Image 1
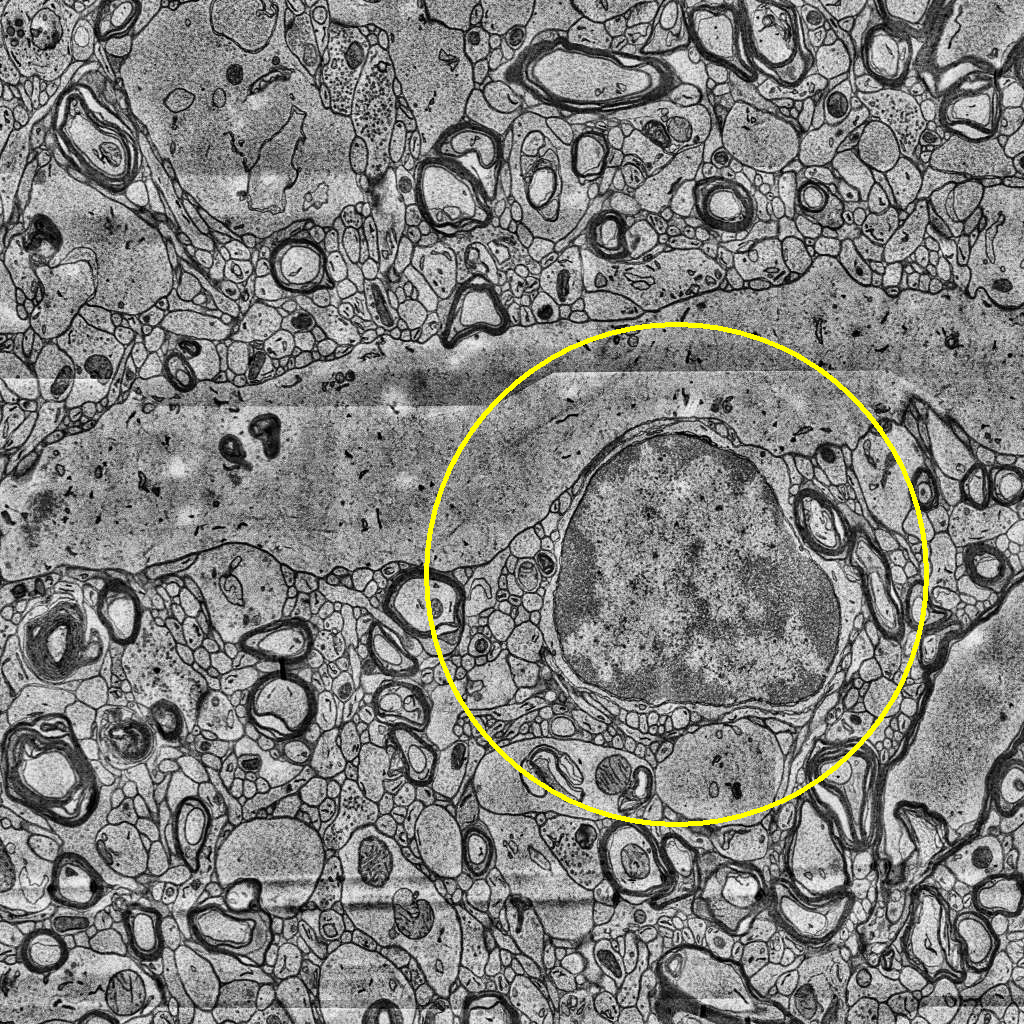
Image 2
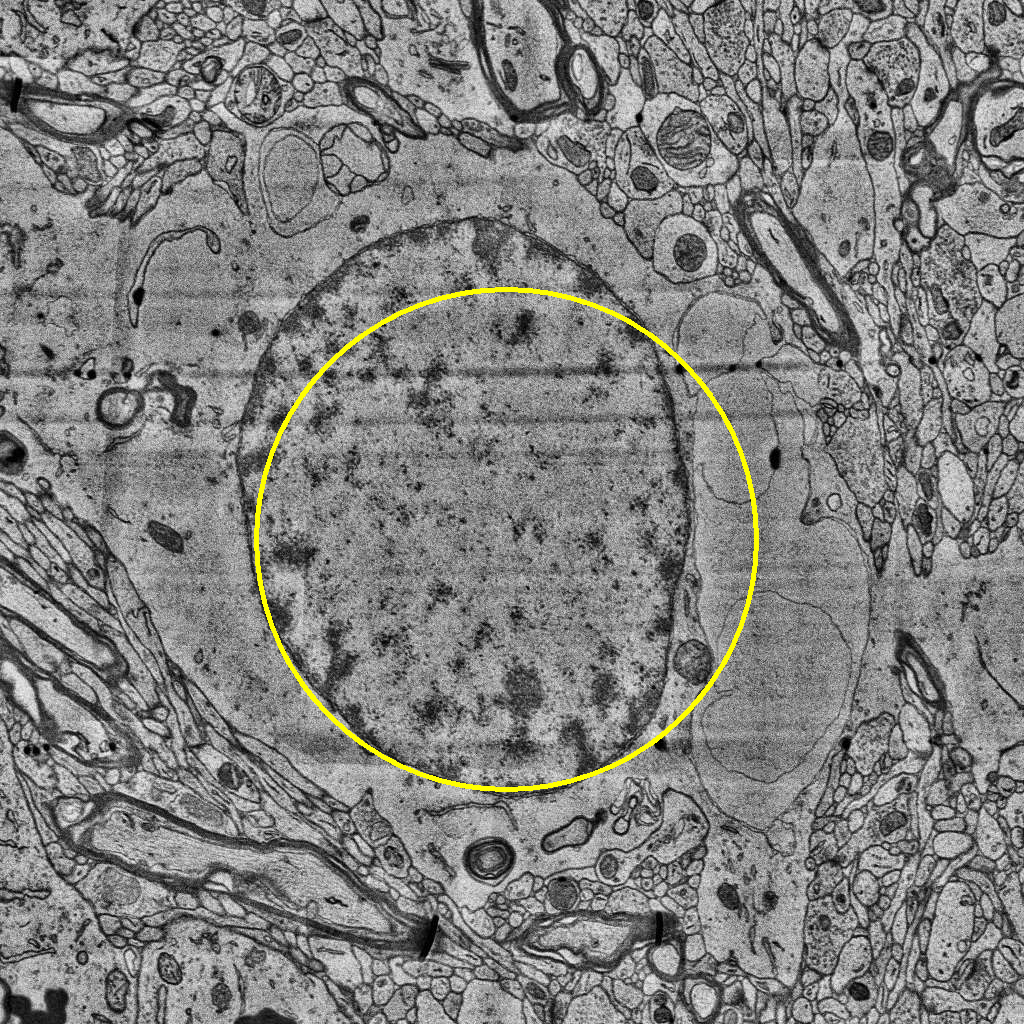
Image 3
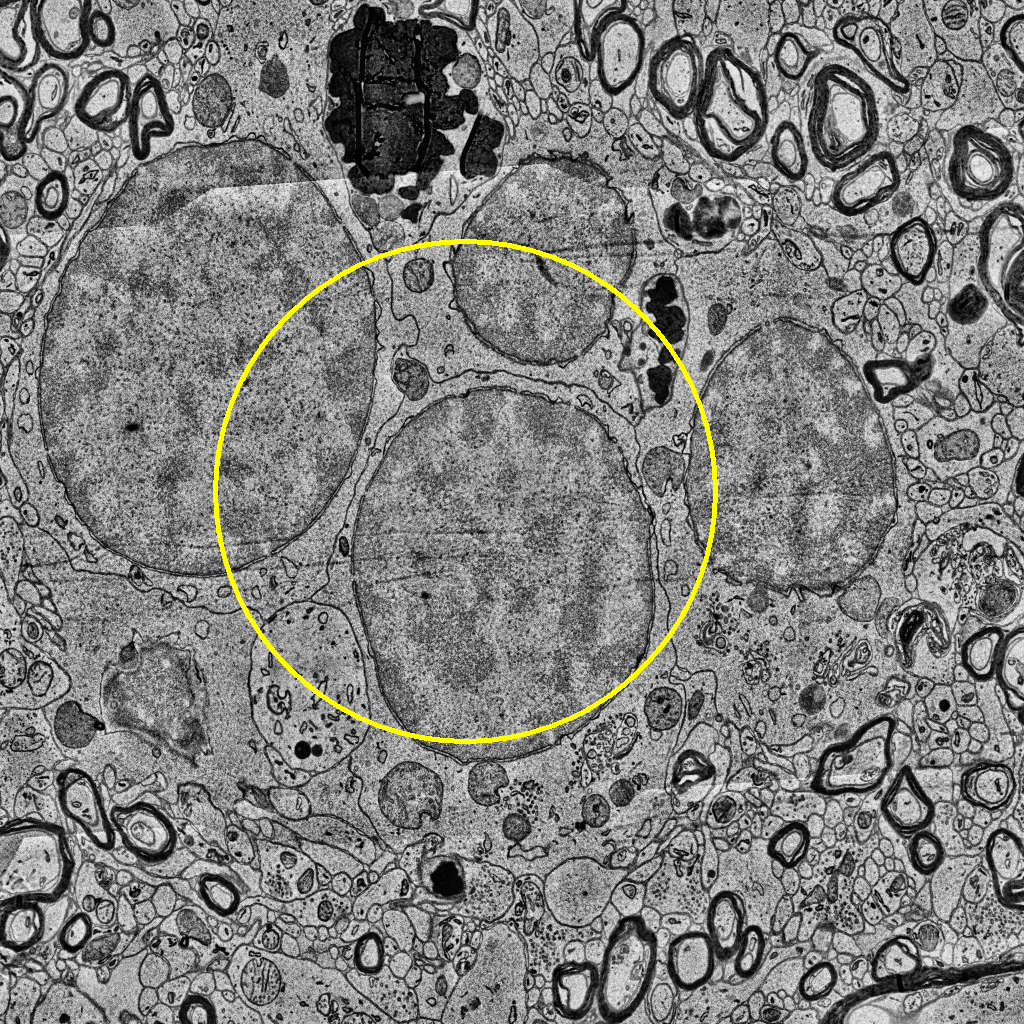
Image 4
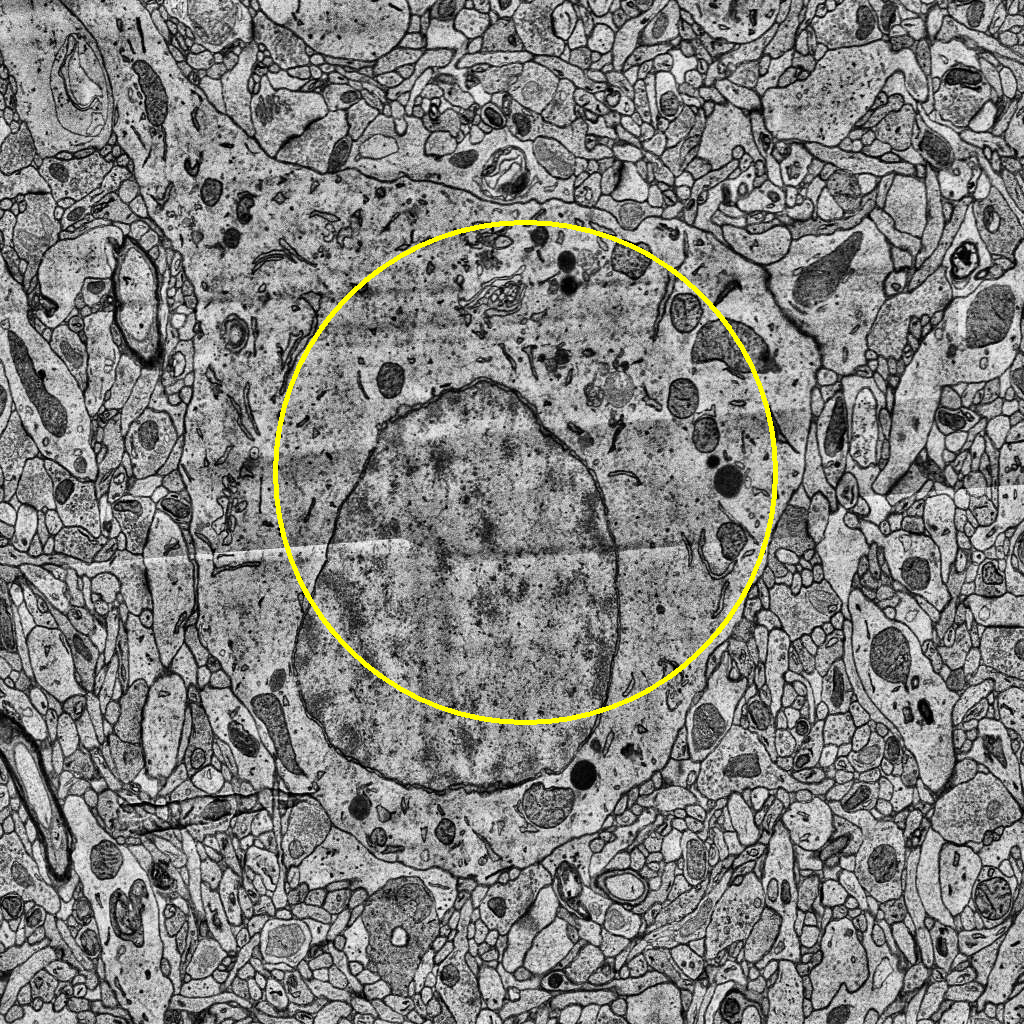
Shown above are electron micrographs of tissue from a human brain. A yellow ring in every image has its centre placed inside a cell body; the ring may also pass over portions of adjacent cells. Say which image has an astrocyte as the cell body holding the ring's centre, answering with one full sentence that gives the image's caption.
The image whose ring has its centre inside the requested cell is Image 2.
